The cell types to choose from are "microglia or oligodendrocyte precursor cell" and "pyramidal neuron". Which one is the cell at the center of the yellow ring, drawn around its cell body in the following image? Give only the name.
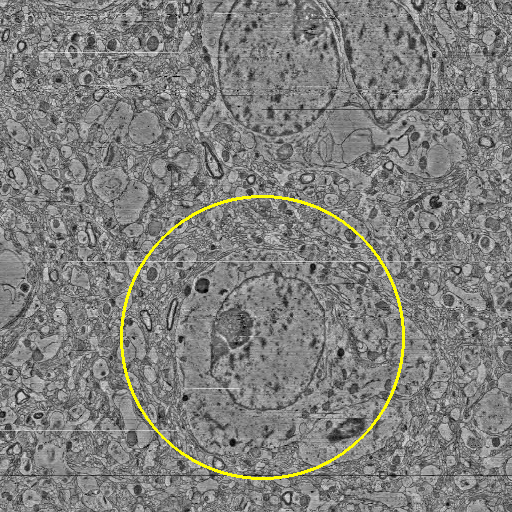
pyramidal neuron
